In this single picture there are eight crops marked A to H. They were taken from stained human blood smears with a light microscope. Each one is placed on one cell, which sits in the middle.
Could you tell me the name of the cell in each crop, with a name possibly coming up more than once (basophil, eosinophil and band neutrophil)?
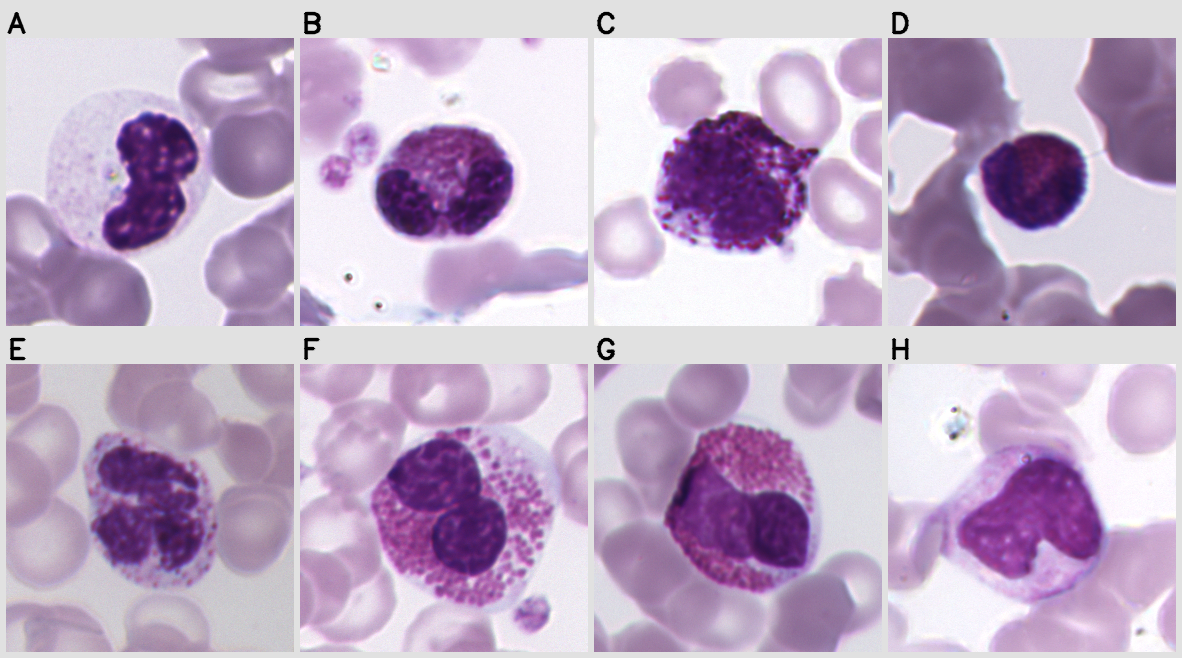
A: band neutrophil
B: eosinophil
C: basophil
D: eosinophil
E: basophil
F: eosinophil
G: eosinophil
H: band neutrophil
